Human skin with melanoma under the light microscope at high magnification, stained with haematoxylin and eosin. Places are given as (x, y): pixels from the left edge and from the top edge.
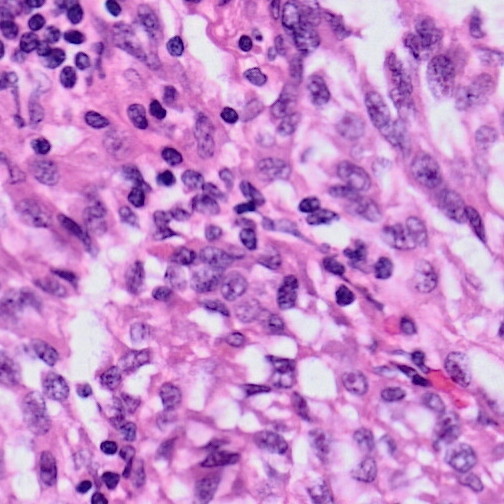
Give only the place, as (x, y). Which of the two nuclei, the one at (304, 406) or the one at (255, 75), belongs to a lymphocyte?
(255, 75)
